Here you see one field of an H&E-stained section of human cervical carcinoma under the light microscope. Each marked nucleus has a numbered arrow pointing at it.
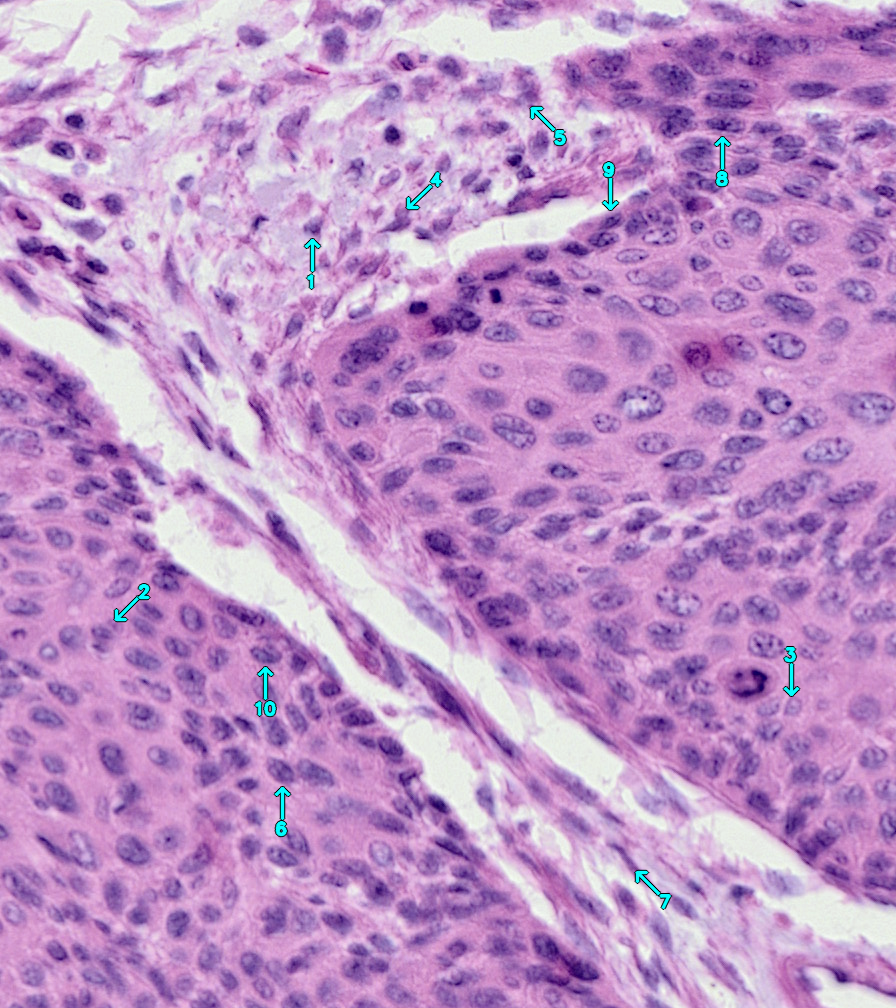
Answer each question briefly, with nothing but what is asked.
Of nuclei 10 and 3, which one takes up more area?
10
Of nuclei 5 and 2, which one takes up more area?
2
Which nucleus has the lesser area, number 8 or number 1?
1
